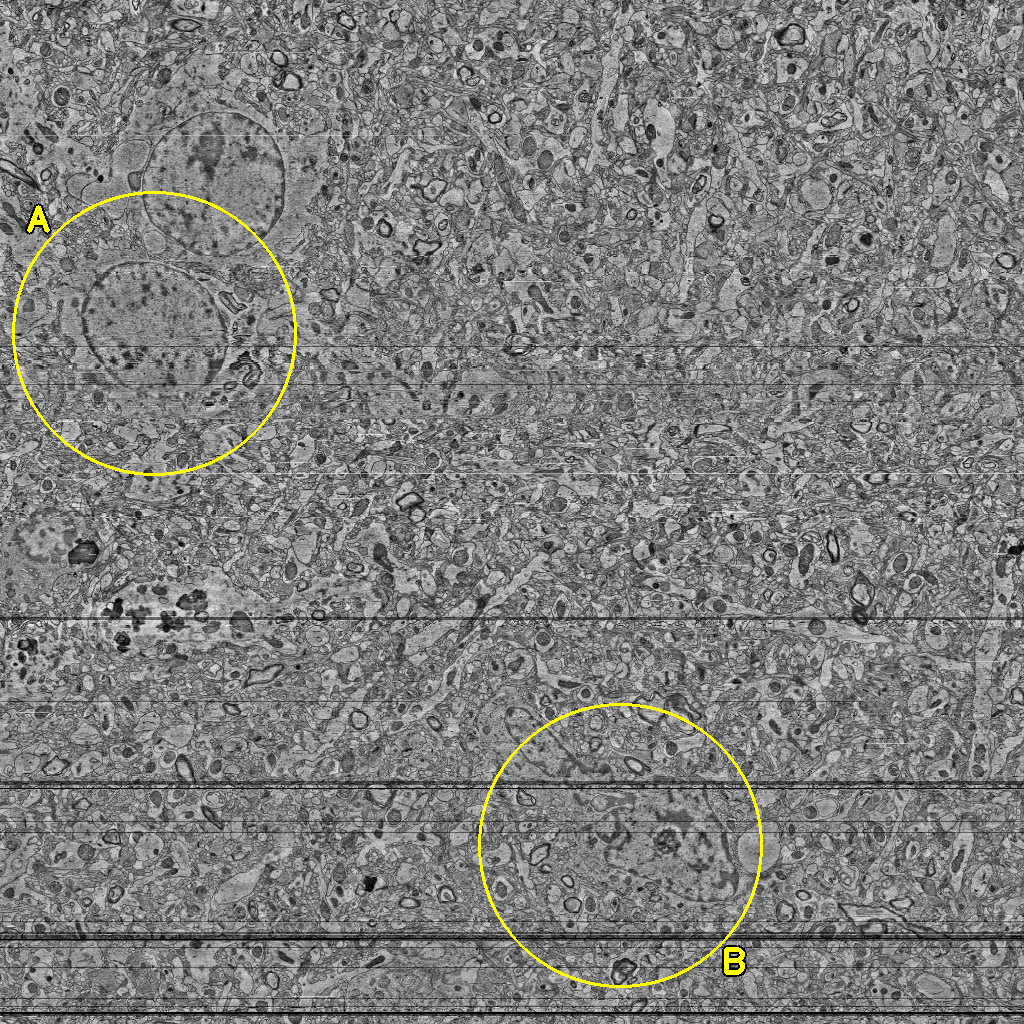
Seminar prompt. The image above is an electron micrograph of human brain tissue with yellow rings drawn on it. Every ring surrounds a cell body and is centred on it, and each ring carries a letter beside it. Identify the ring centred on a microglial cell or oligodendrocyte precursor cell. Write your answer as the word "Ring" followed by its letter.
Ring B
